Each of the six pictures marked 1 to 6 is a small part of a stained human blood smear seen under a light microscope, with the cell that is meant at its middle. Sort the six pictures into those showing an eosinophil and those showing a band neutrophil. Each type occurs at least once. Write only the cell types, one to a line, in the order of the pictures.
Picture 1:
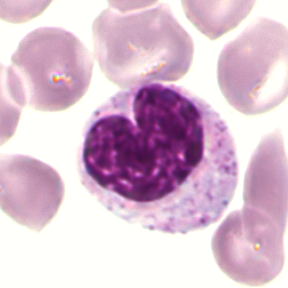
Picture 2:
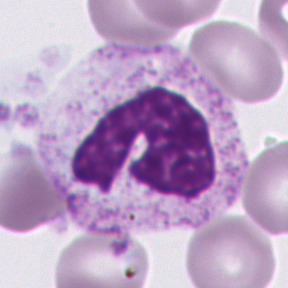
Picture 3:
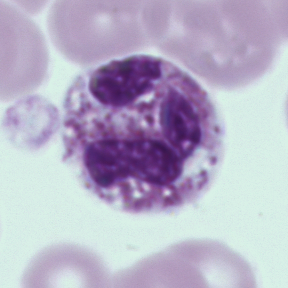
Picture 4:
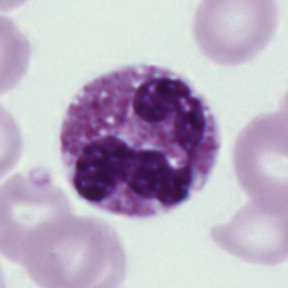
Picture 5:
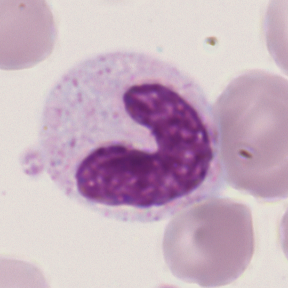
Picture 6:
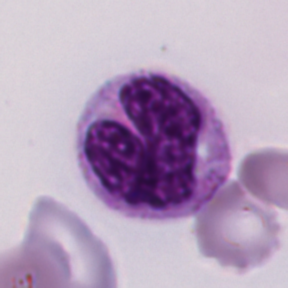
band neutrophil
band neutrophil
eosinophil
eosinophil
band neutrophil
band neutrophil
